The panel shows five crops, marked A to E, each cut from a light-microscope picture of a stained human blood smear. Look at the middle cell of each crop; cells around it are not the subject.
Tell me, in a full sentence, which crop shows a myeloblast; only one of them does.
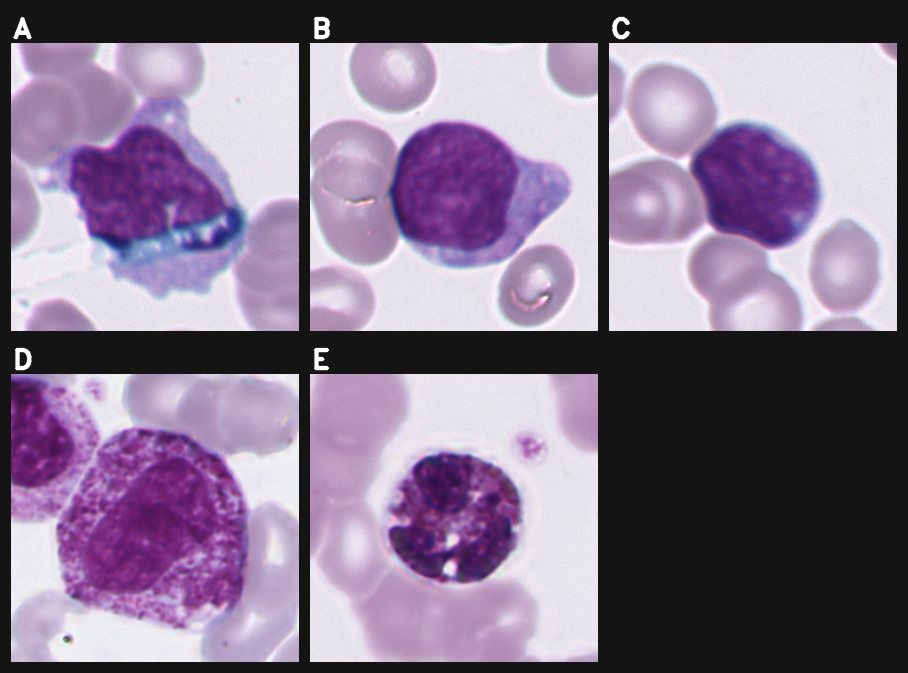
The one showing a myeloblast is the crop labelled C.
